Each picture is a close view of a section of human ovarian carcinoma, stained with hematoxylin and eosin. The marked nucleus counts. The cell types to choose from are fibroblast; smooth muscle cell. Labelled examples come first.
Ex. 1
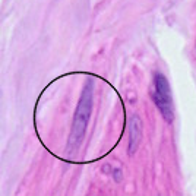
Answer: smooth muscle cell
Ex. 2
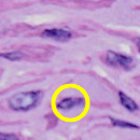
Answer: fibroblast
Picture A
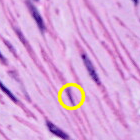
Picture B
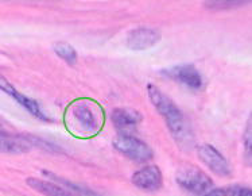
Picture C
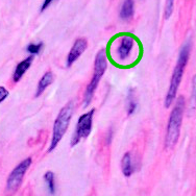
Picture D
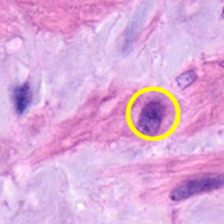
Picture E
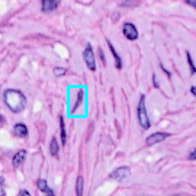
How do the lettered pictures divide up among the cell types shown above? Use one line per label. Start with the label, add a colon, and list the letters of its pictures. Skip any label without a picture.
fibroblast: A, E
smooth muscle cell: B, C, D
